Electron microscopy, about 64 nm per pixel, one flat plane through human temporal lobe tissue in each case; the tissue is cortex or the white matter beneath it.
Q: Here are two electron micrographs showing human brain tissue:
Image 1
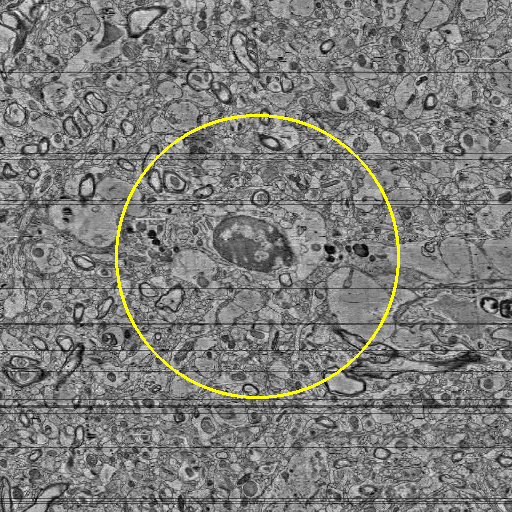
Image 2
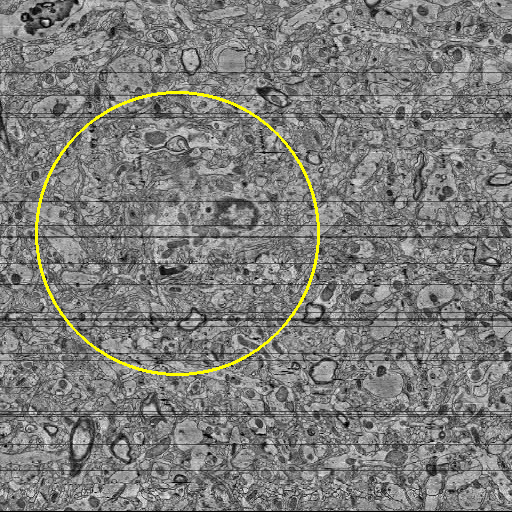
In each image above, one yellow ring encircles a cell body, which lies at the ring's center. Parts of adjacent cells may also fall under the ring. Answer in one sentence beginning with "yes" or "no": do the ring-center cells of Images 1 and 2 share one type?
Yes, in Images 1 and 2, the ring-center cells are both of one type.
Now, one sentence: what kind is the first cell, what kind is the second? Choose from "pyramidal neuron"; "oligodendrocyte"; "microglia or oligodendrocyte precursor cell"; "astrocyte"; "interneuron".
In each of the two pictures, the ringed cell is a microglial cell or oligodendrocyte precursor cell.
